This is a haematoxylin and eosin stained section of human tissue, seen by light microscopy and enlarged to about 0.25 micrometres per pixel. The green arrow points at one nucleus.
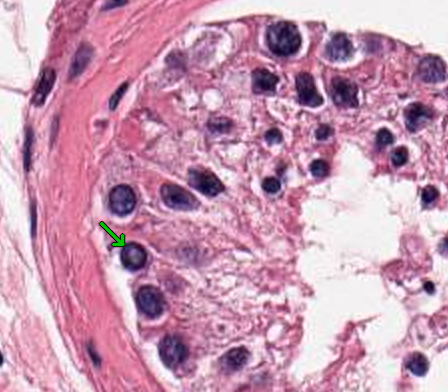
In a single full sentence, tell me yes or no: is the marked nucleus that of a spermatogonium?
Yes, a spermatogonium is what the marked nucleus belongs to.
